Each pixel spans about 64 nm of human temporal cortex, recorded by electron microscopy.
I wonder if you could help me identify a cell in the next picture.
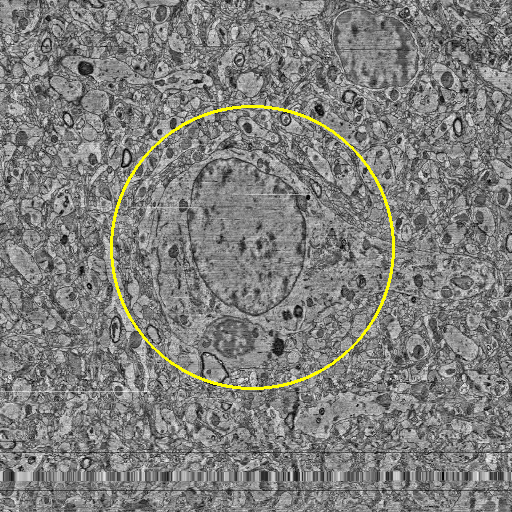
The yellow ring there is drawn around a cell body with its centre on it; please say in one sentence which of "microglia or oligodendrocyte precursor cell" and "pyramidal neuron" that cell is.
The yellow ring is centred on a pyramidal neuron.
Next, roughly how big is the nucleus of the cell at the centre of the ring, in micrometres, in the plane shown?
Roughly 11 micrometres by 7 micrometres, in this plane.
